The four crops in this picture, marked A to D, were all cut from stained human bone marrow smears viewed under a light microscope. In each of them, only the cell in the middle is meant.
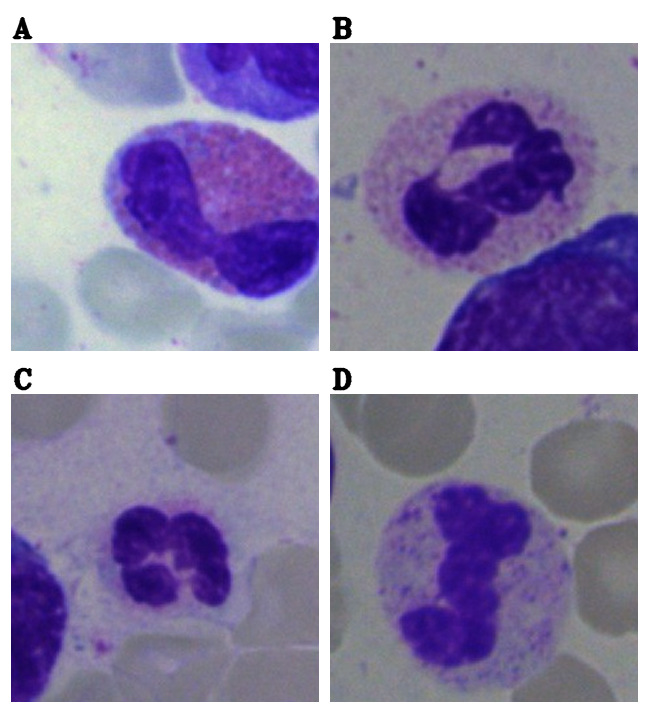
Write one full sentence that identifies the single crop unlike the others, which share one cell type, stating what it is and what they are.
In contrast to the other crops, all of which show segmented neutrophils, crop A shows an eosinophil.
